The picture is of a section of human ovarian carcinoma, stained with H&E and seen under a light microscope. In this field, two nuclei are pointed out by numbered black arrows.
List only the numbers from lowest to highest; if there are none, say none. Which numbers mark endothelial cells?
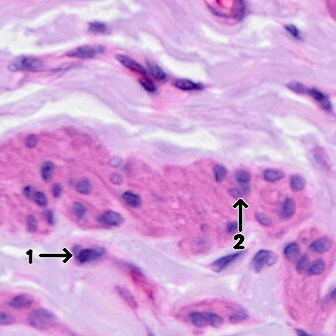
1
